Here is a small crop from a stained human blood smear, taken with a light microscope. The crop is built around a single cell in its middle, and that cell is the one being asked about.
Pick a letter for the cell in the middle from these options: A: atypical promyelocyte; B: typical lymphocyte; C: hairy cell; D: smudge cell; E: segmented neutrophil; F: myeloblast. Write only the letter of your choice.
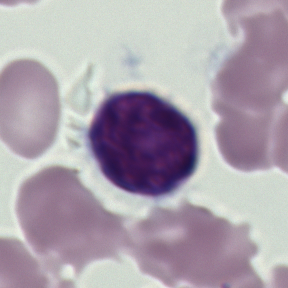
C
